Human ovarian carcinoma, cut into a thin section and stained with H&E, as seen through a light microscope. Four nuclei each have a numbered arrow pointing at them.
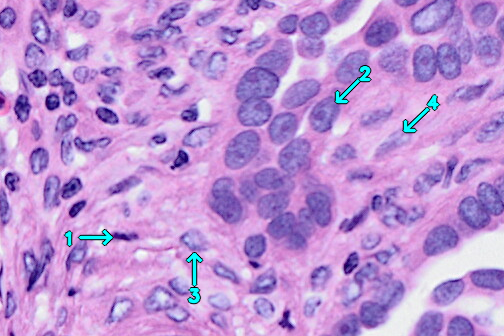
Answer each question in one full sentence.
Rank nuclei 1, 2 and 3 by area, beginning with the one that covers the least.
By area, going up from the smallest, they rank 1, 3, 2.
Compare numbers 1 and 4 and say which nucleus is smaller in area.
Nucleus 1 is the smaller one; nucleus 4 covers about 2.5 times its area.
